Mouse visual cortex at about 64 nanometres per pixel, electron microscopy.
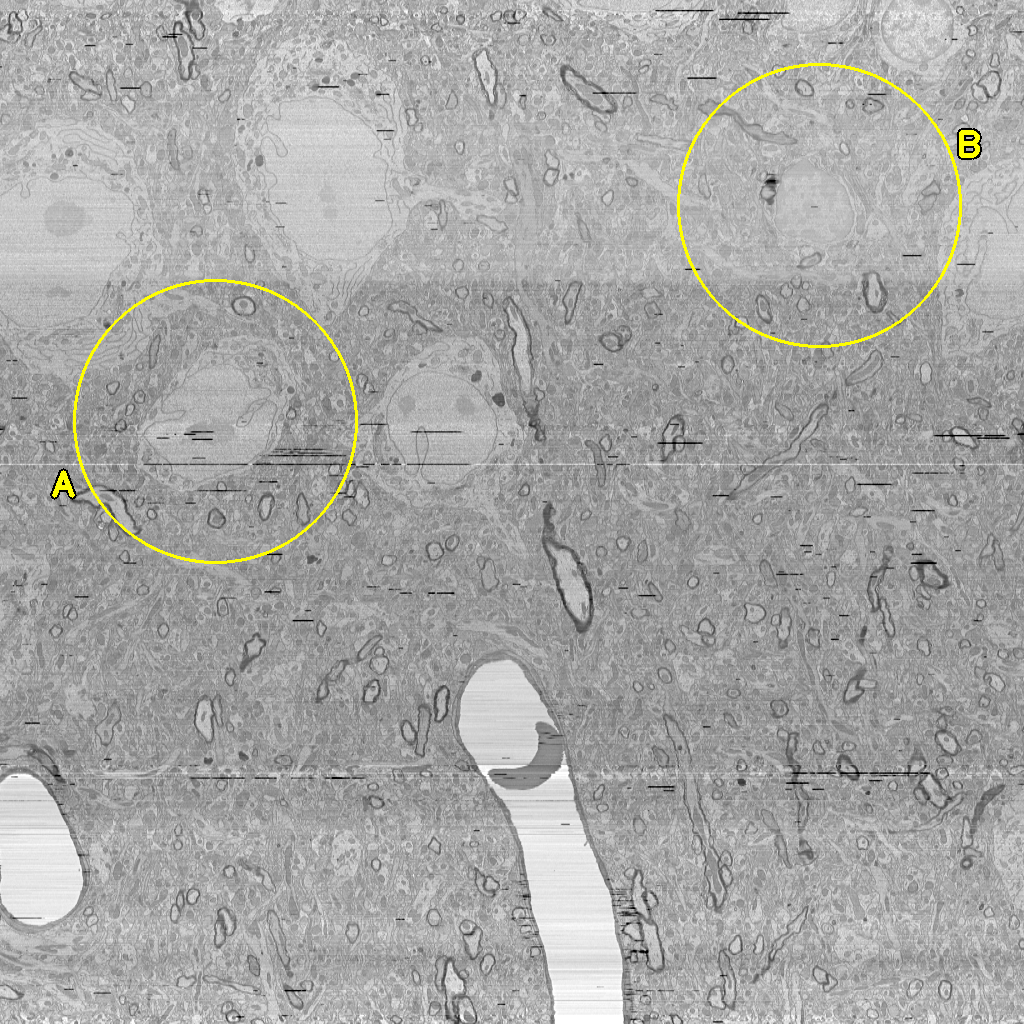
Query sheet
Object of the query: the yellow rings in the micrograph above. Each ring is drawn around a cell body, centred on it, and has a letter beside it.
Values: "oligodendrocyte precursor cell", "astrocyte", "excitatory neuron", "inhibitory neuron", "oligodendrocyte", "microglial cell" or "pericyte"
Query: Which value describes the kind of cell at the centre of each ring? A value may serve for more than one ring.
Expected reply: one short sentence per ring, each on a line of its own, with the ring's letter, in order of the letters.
I assign an inhibitory neuron to ring A.
I assign a microglial cell to ring B.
